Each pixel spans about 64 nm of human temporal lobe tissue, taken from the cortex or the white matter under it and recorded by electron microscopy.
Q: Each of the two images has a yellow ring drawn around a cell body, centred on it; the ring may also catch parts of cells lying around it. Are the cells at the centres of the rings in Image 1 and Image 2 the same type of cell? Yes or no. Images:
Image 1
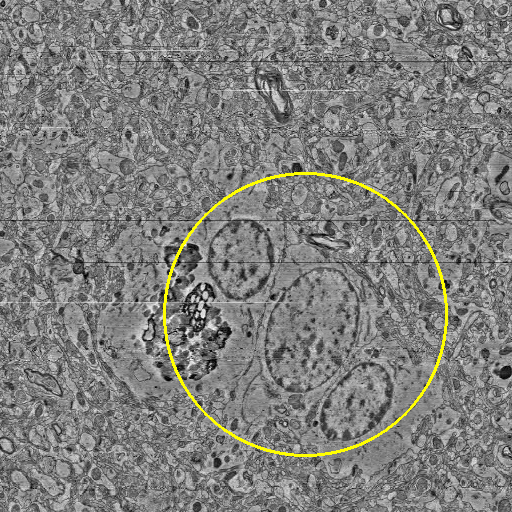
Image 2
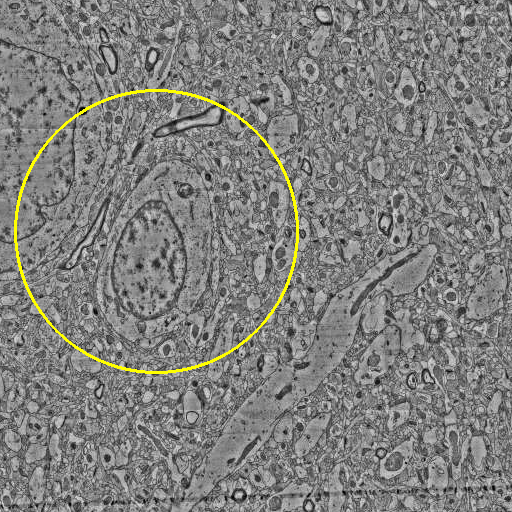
no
